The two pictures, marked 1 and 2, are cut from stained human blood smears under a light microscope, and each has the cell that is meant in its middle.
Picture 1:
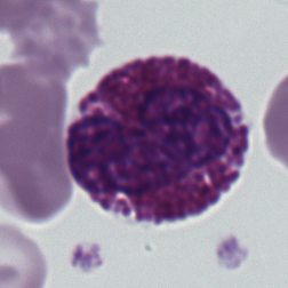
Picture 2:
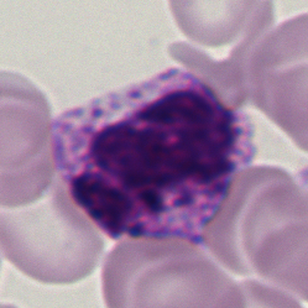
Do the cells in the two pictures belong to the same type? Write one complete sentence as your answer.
No; the cell in picture 1 is an eosinophil, while the one in picture 2 is a basophil.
